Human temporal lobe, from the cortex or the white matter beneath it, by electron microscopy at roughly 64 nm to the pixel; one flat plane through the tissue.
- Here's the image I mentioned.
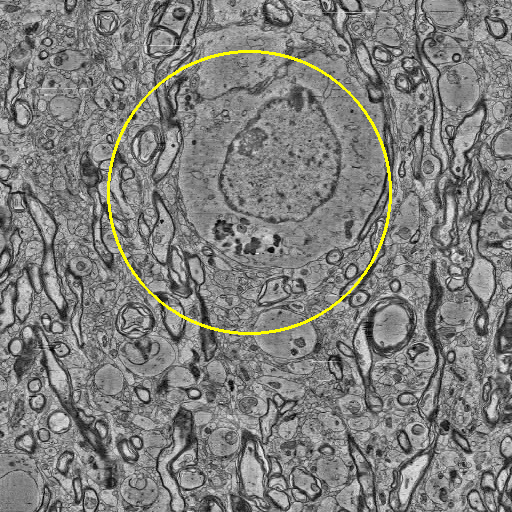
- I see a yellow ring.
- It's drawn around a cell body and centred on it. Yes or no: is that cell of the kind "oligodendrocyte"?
no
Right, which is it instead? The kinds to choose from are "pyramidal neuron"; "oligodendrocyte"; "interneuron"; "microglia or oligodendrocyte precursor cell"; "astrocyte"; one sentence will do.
The cell marked by the ring is an astrocyte.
